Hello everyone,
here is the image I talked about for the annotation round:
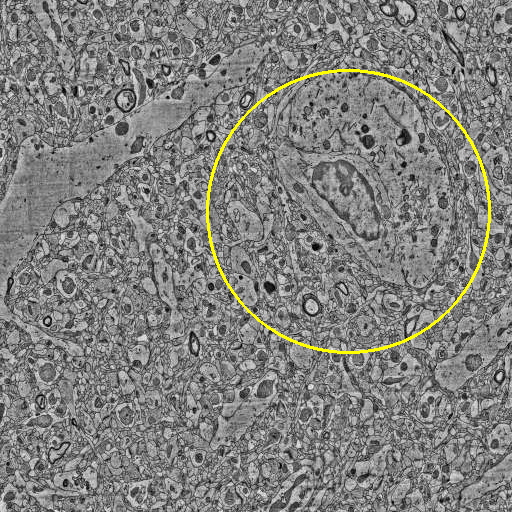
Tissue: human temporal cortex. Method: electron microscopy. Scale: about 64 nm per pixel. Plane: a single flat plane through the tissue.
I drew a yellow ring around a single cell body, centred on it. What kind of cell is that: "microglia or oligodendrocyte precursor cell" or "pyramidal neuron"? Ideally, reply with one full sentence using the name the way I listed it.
The cell your yellow ring is centred on is a microglial cell or oligodendrocyte precursor cell, going by your list.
